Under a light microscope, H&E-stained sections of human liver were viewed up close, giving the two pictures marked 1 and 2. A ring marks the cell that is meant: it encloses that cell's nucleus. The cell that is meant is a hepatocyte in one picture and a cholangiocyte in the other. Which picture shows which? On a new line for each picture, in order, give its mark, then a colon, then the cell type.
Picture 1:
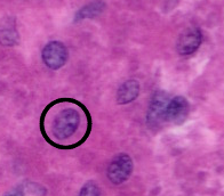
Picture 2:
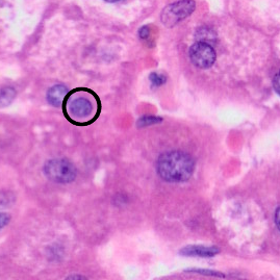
1: hepatocyte
2: cholangiocyte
